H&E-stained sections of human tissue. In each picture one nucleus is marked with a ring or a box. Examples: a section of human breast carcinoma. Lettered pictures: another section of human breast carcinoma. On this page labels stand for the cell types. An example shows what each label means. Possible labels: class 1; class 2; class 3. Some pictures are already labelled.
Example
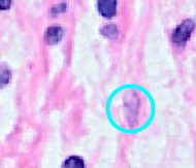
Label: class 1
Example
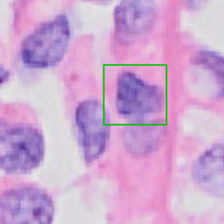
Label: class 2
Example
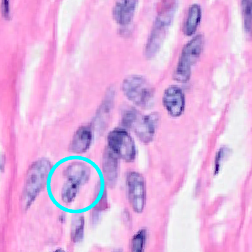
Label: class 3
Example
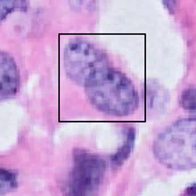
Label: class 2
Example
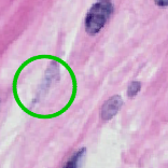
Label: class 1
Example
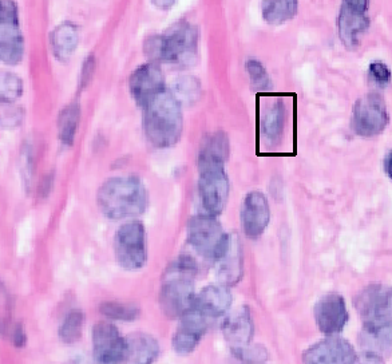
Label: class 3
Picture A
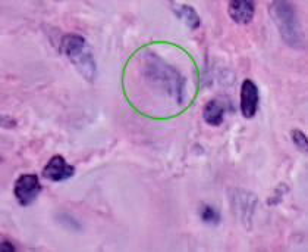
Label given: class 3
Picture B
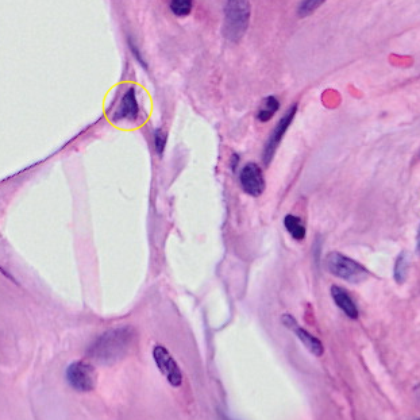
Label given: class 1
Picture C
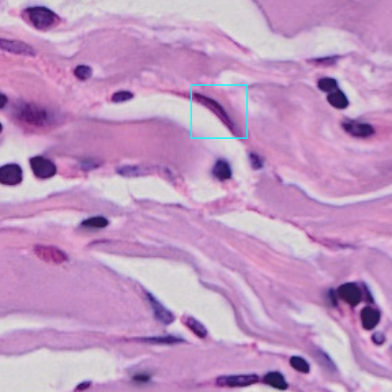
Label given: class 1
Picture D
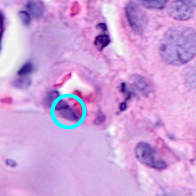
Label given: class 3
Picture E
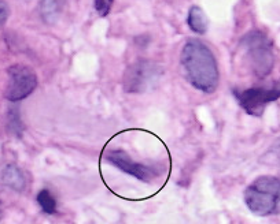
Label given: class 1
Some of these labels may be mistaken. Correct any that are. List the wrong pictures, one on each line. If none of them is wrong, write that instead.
A: class 1, not class 3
